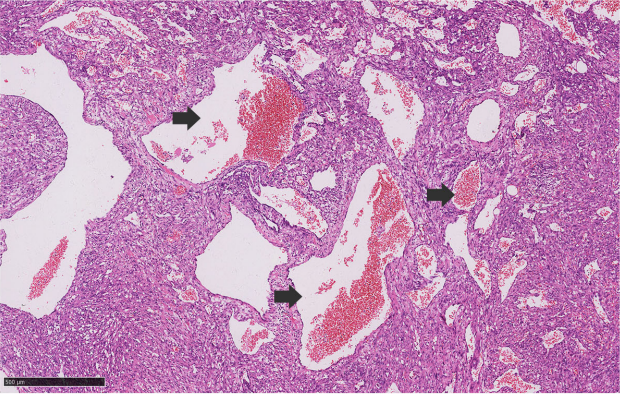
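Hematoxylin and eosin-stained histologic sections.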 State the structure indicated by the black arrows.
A: tortuous vessels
